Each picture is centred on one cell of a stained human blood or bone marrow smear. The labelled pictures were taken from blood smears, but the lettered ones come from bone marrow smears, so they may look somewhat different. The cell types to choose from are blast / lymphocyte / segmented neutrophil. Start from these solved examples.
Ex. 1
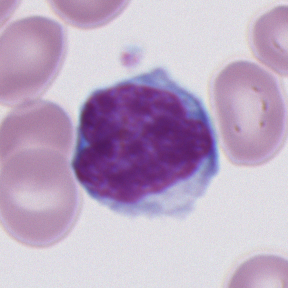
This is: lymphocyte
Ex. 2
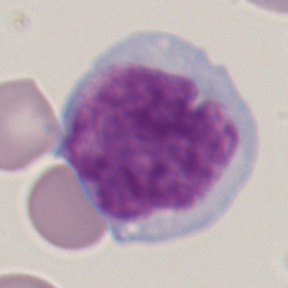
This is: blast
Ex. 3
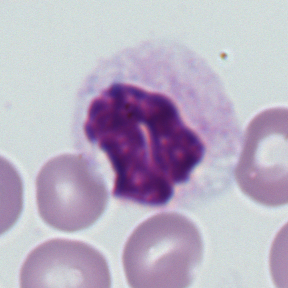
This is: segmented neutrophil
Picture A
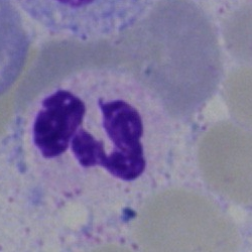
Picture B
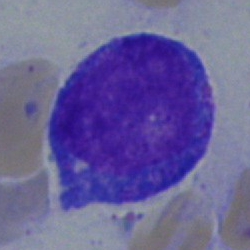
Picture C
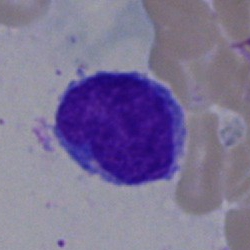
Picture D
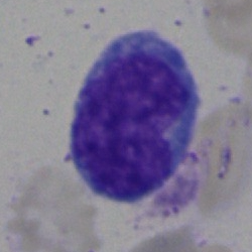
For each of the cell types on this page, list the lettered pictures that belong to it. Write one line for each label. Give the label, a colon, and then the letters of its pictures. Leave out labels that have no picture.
blast: B, C, D
segmented neutrophil: A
